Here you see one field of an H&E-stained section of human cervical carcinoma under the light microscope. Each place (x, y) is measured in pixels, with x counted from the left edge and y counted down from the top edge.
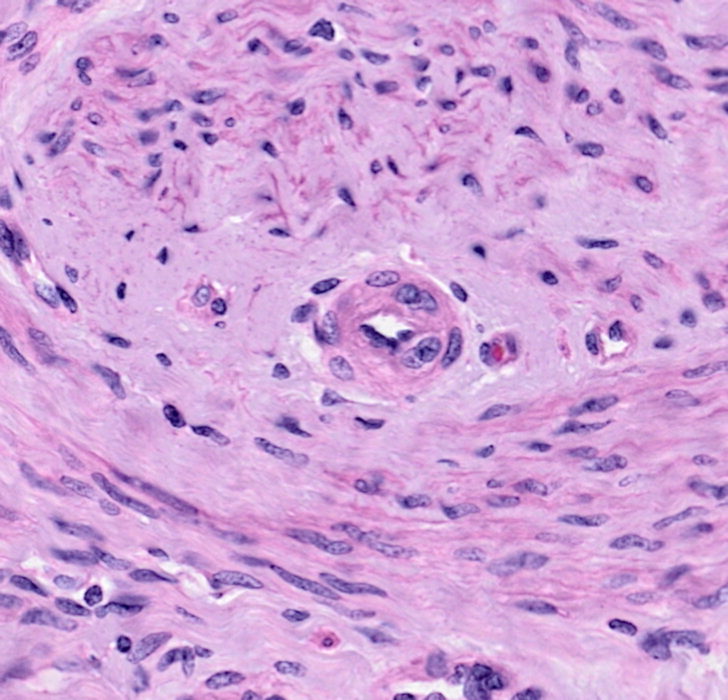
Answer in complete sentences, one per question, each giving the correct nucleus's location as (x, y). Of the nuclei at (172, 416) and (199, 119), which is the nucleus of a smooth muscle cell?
The nucleus of the pair that lies within a smooth muscle cell is at (199, 119).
